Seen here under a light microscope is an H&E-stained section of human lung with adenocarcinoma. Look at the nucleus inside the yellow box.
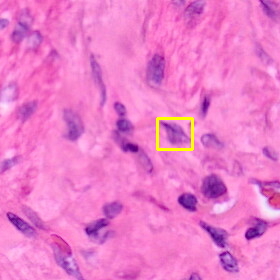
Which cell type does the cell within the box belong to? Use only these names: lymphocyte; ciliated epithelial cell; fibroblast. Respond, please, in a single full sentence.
The identity of the cell within the box is that of a fibroblast.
